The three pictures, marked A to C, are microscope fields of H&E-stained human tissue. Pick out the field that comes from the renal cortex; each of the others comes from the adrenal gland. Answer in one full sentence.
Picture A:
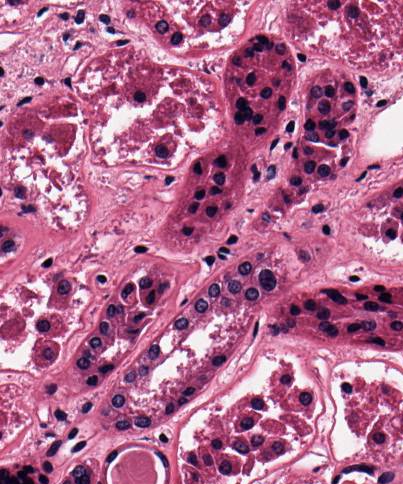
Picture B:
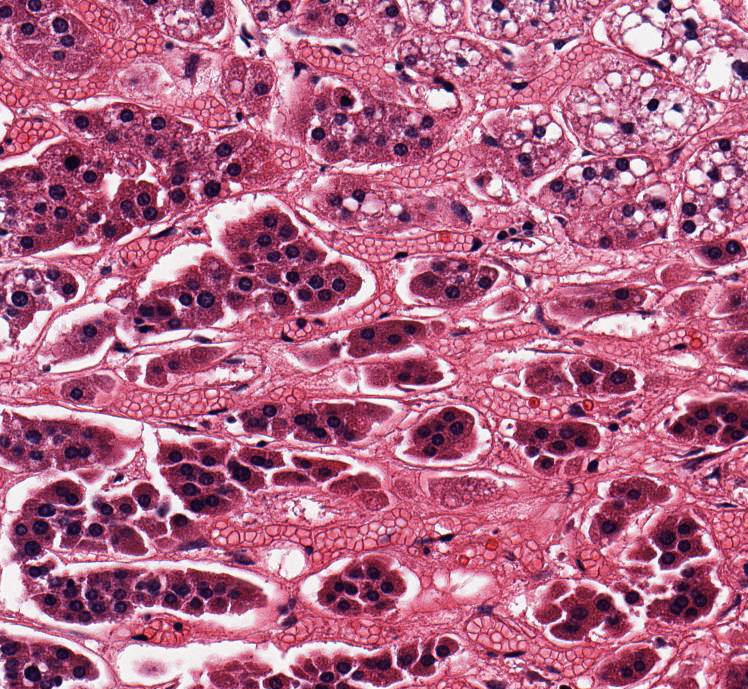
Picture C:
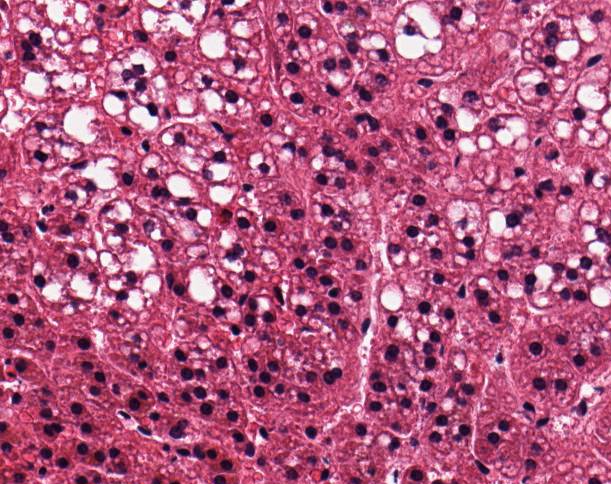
Picture A comes from the renal cortex.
